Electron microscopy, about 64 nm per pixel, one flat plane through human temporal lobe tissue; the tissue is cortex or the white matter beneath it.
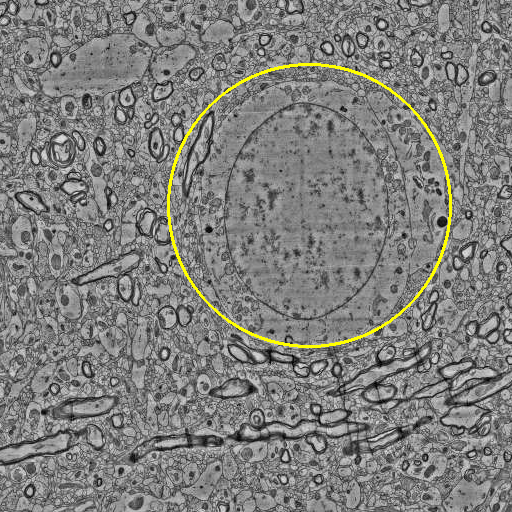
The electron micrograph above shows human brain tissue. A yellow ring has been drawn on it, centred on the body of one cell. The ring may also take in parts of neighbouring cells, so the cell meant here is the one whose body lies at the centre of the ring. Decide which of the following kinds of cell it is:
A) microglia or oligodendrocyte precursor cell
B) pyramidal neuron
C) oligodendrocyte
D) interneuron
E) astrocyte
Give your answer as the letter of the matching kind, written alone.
B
